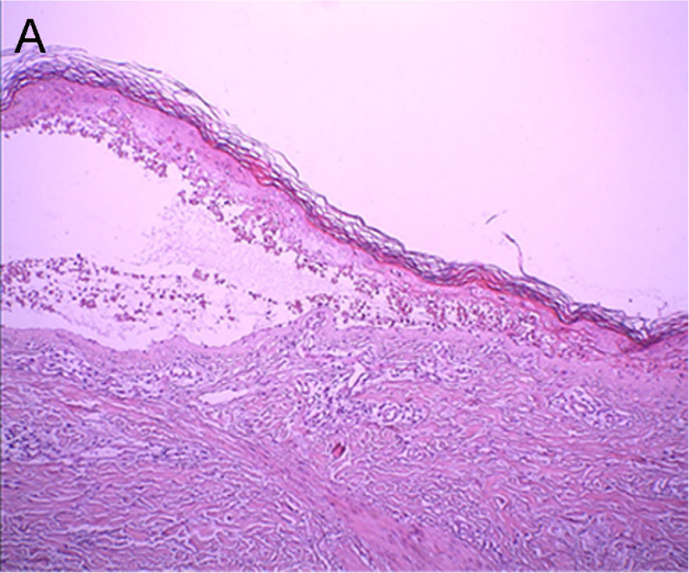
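This section of skin shows an epidermis lifted into a large blister, with dermis beneath. The roof of the blister is a thin strip of epidermis capped by a thick, wavy, layered cornified layer. The cavity beneath is pale and holds pale fluid and scattered detached cells, some lining its upper and lower borders. Below the blister the dermis shows wavy collagen bundles with vessels in its upper part, around which small dark nuclei gather.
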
